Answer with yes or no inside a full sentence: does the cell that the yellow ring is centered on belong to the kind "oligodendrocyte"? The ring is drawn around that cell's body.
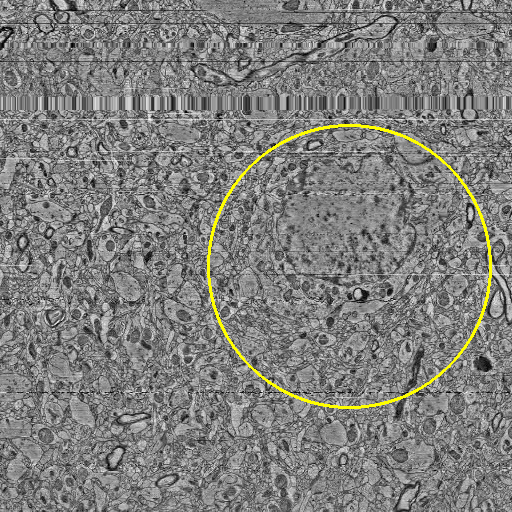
No, another kind describes the cell the yellow ring is centered on in the picture.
